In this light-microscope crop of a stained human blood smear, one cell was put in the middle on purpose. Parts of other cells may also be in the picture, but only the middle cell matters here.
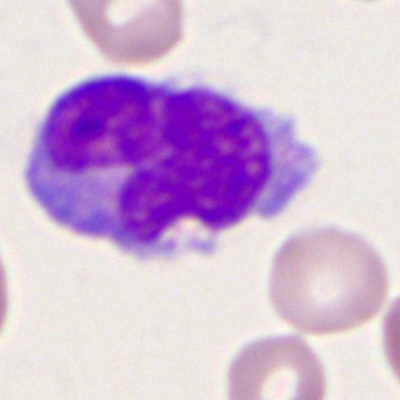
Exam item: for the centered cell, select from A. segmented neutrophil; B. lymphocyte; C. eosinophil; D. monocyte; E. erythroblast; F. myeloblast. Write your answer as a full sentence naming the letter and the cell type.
The one cell at the centre is a monocyte, as correctly stated in option D.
